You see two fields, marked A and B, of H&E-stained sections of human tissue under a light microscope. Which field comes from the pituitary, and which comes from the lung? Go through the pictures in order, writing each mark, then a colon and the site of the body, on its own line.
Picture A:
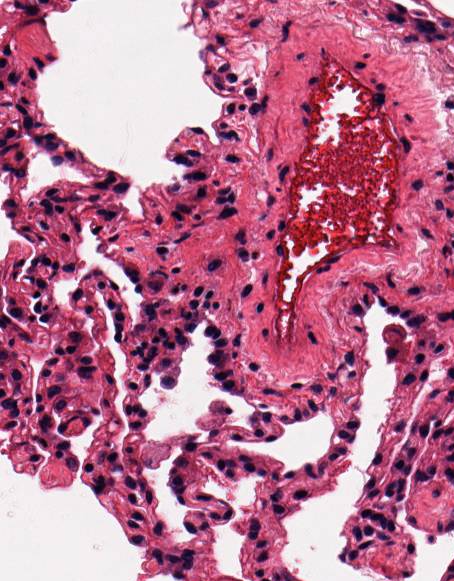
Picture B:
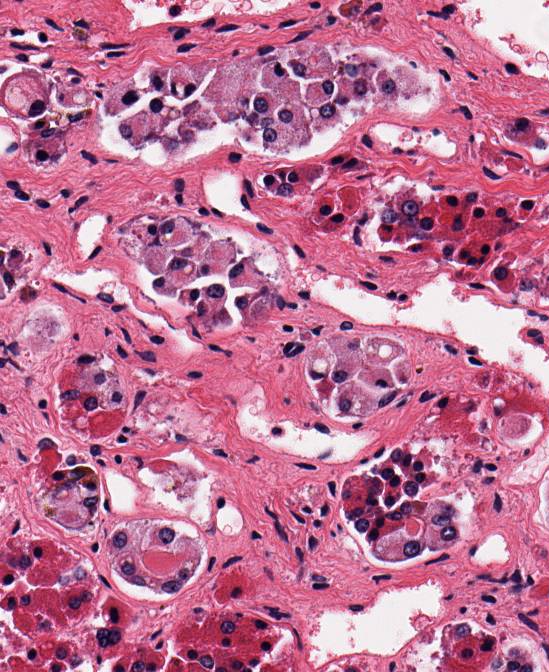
A: lung
B: pituitary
